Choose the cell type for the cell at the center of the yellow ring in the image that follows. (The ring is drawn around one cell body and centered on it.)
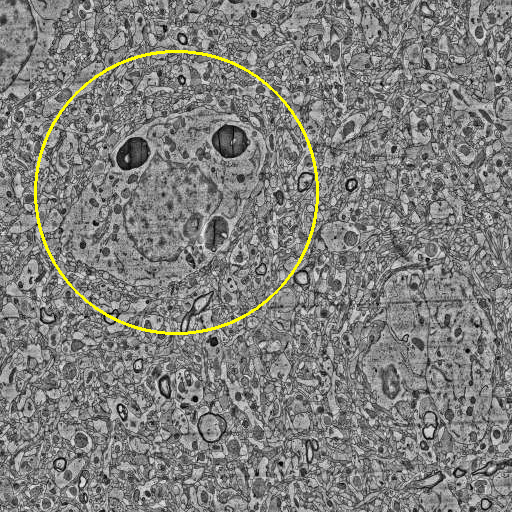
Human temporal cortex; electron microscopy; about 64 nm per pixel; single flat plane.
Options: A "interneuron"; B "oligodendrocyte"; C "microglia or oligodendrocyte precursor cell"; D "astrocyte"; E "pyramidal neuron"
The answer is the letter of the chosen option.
A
